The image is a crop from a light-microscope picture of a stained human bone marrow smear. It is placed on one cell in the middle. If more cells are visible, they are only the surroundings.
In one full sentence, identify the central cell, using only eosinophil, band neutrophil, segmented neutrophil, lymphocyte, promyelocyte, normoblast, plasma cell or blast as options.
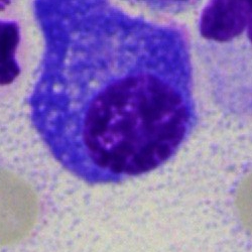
The cell marked by its central position in the crop is a plasma cell.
